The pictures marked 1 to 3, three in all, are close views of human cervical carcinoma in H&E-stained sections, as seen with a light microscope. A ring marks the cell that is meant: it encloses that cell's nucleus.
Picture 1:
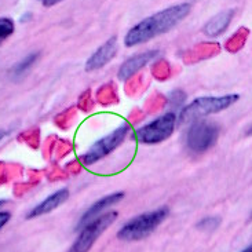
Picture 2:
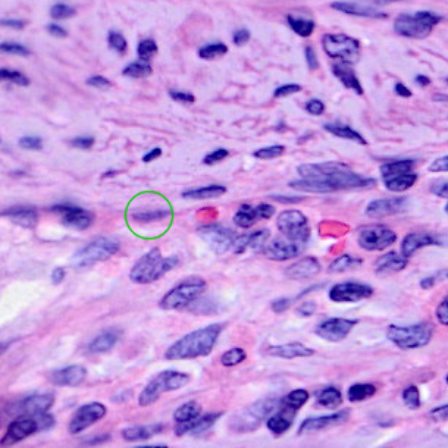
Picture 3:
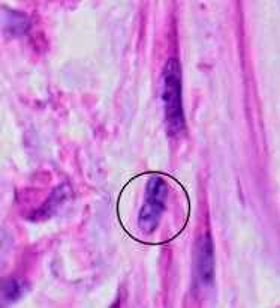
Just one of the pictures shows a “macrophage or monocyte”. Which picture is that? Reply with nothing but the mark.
3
